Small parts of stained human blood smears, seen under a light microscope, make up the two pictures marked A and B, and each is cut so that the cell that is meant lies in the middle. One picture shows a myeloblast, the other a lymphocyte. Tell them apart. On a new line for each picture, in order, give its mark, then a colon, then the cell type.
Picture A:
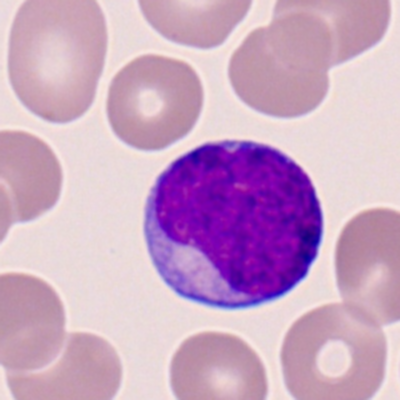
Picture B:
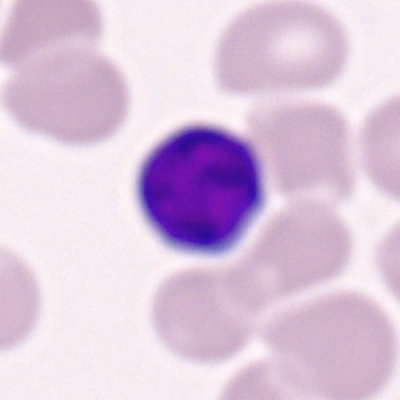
A: myeloblast
B: lymphocyte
